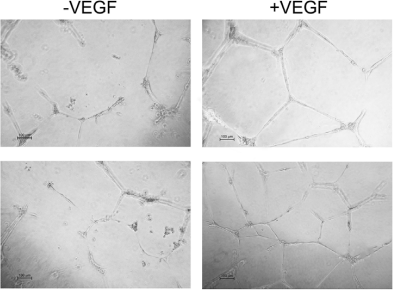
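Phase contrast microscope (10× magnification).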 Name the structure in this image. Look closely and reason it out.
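Thin elongated cords of cells link up into a network. The cords enclose open polygonal spaces.
Hence: tube-like structure.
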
